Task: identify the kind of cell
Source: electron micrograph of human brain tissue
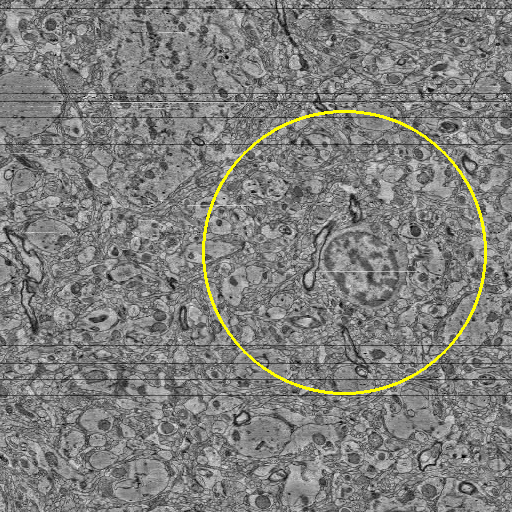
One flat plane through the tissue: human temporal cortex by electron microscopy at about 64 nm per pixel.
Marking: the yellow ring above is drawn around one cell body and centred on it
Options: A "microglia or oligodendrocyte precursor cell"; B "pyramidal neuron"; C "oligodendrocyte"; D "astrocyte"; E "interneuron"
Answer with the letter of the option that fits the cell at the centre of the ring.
C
